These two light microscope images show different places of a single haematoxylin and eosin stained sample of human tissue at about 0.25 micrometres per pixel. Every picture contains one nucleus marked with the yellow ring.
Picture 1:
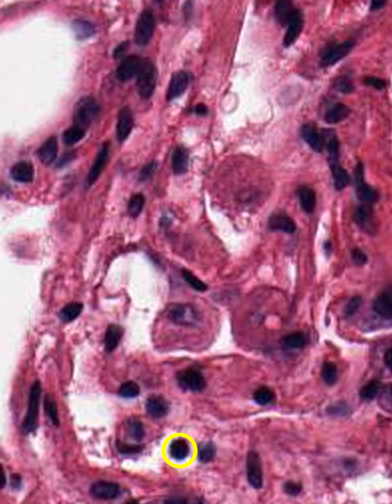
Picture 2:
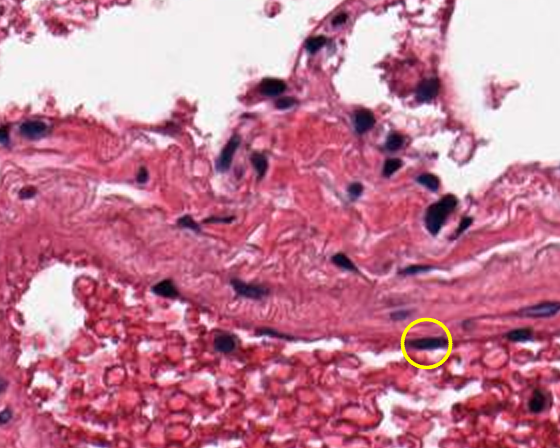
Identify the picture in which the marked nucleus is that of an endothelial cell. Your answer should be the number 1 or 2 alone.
2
